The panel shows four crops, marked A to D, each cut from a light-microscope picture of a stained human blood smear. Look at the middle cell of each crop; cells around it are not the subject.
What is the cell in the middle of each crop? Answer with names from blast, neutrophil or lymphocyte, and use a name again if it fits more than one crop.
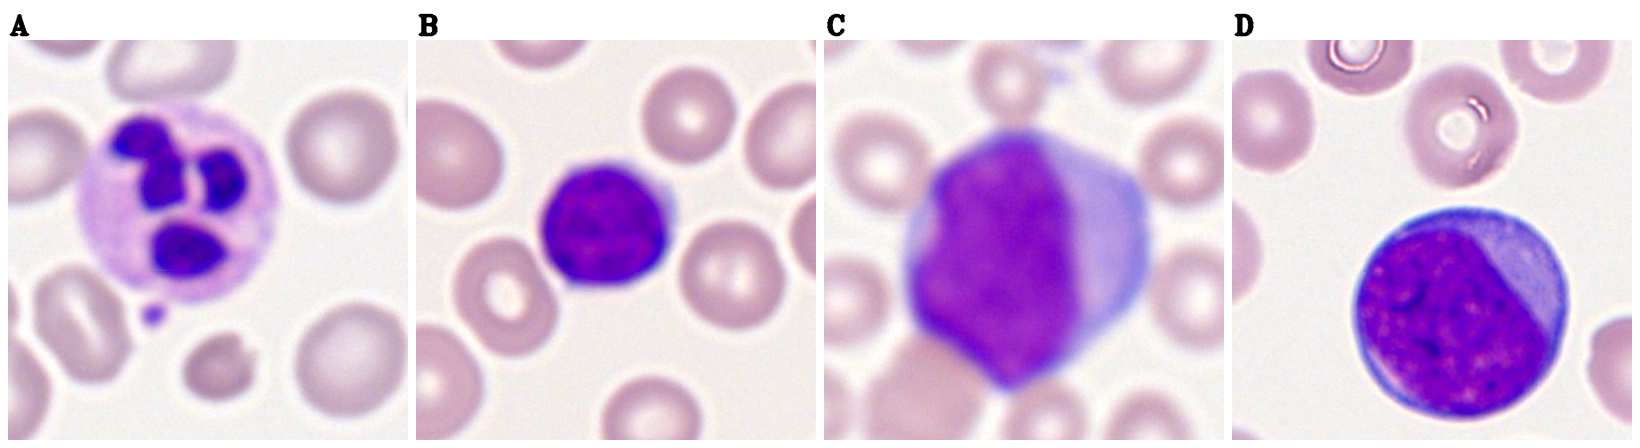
A: neutrophil
B: lymphocyte
C: blast
D: blast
